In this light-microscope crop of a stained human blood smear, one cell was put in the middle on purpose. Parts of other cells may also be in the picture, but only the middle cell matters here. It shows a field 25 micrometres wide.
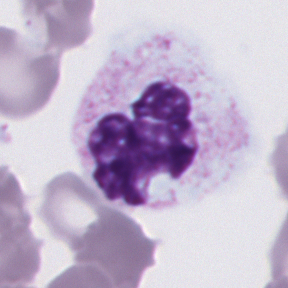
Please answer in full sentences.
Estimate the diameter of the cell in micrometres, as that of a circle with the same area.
About 14 micrometres: that is the cell's diameter.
